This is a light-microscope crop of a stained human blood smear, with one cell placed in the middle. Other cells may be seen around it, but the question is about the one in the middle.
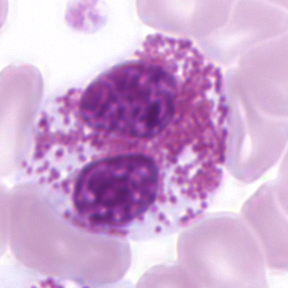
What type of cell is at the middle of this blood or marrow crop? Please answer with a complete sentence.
Positioned in the middle of the crop is an eosinophil.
